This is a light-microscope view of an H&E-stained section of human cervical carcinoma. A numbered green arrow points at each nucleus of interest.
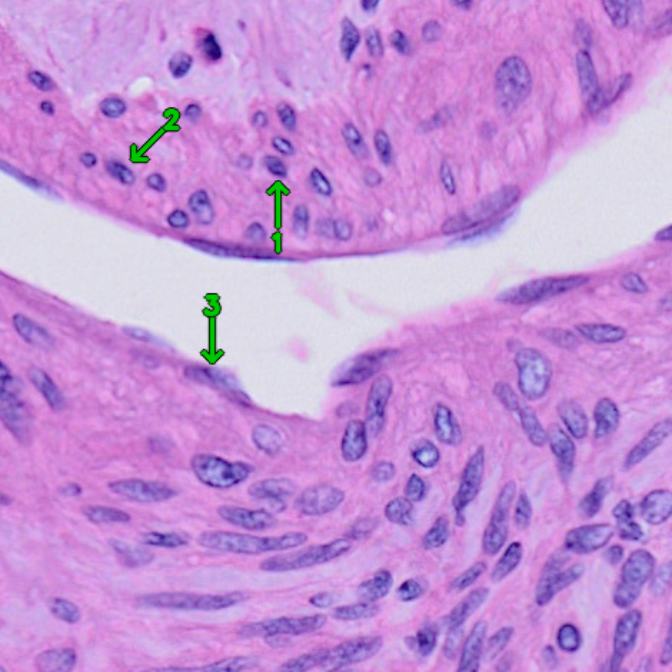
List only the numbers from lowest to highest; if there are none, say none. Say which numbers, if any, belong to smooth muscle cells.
1, 2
